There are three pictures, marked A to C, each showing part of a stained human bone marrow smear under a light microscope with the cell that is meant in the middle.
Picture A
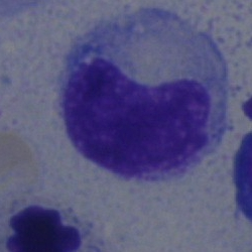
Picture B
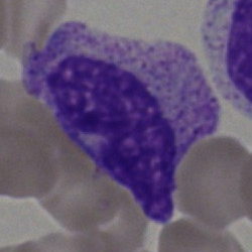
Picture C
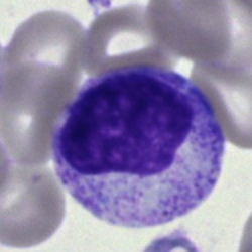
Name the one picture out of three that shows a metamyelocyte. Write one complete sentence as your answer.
The cell in picture A is the metamyelocyte.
